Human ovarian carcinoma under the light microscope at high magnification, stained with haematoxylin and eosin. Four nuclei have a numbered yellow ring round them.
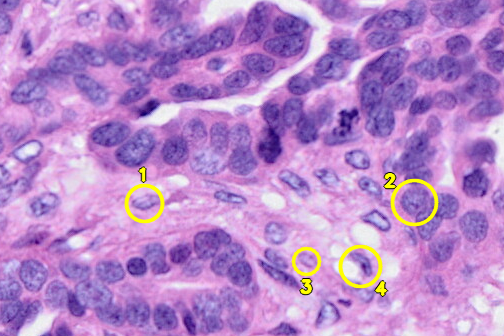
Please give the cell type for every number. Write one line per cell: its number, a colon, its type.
1: fibroblast
2: carcinoma cell
3: fibroblast
4: fibroblast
